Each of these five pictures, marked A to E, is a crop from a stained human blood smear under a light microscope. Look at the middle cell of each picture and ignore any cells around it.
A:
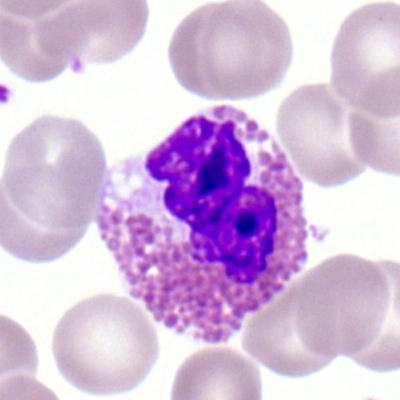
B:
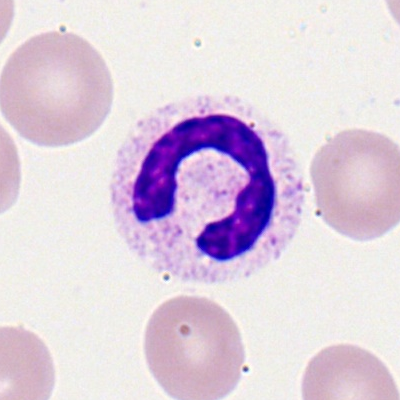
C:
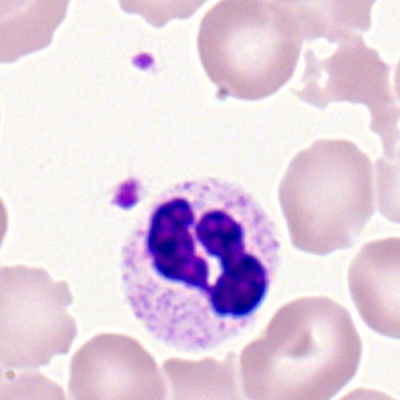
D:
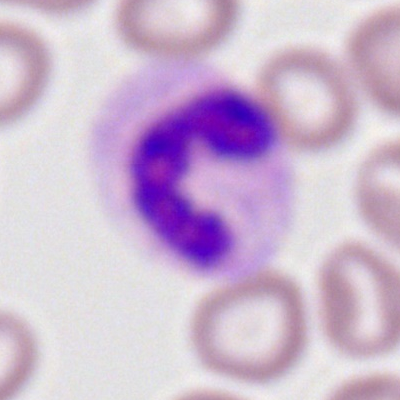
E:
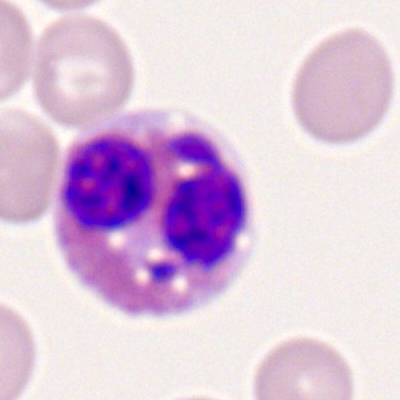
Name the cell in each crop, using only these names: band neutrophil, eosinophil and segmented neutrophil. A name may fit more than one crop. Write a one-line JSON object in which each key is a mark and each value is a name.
{"A": "eosinophil", "B": "band neutrophil", "C": "segmented neutrophil", "D": "band neutrophil", "E": "eosinophil"}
